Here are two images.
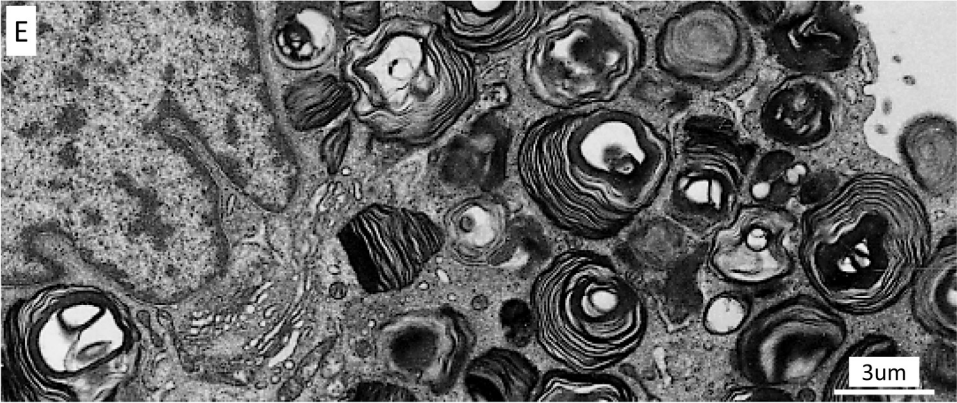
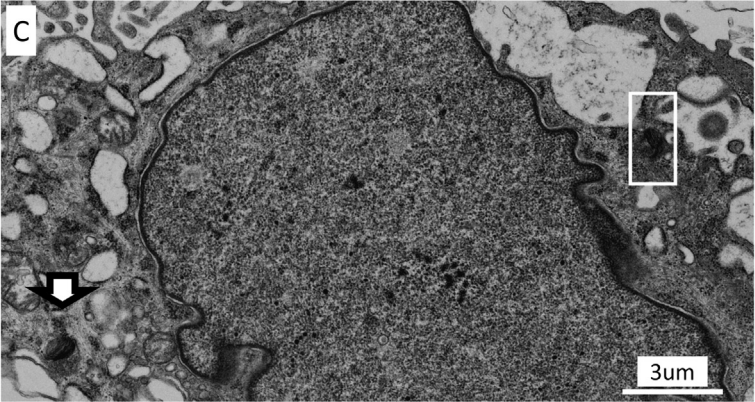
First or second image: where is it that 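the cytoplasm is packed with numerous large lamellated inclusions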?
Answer: The first image.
